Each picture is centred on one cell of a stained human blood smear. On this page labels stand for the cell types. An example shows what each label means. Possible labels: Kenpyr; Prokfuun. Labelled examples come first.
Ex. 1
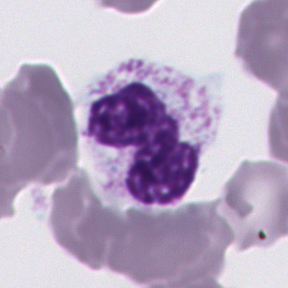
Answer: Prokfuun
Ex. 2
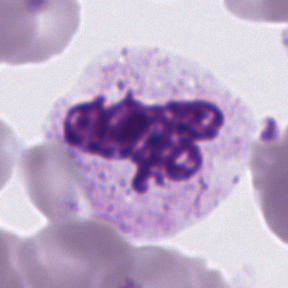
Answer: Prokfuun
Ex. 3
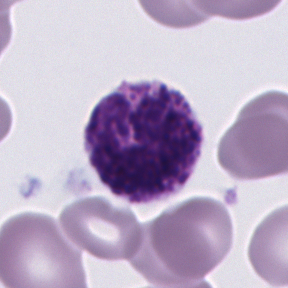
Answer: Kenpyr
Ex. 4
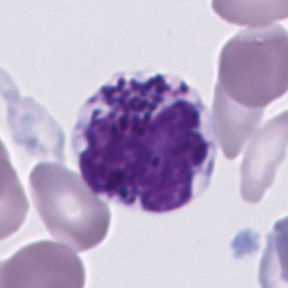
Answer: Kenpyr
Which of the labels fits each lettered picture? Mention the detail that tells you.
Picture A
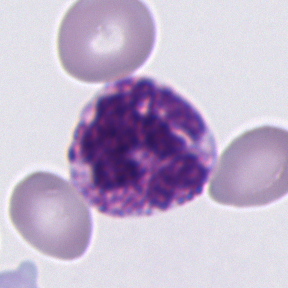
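Label: Kenpyr. Only a narrow rim of pale lilac-pink cytoplasm shows, mostly at the lower left.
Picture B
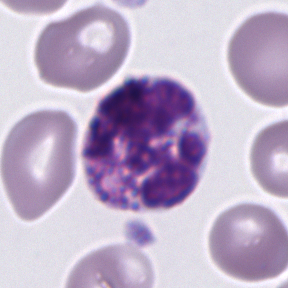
Label: Kenpyr. Coarse dark blue-violet granules are scattered across the cell.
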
